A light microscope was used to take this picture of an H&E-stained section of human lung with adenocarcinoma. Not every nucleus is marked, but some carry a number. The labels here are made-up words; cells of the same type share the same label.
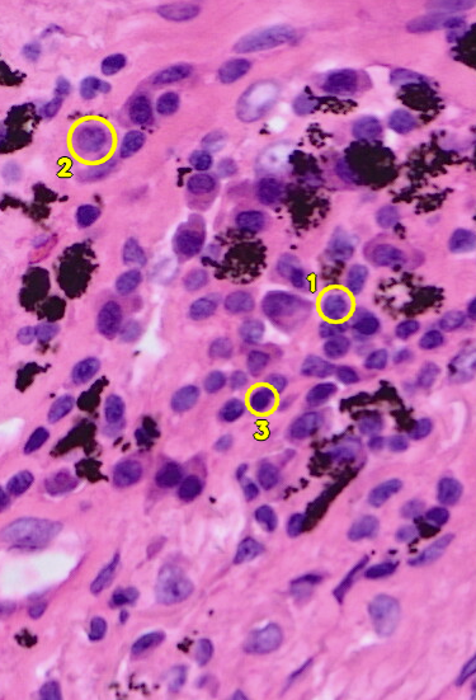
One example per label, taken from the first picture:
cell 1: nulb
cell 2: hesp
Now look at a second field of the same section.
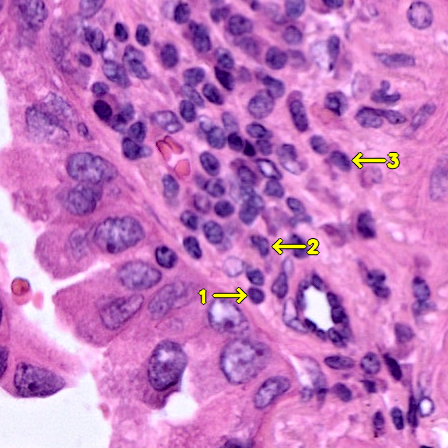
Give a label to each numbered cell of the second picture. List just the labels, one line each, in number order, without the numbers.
nulb
nulb
hesp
